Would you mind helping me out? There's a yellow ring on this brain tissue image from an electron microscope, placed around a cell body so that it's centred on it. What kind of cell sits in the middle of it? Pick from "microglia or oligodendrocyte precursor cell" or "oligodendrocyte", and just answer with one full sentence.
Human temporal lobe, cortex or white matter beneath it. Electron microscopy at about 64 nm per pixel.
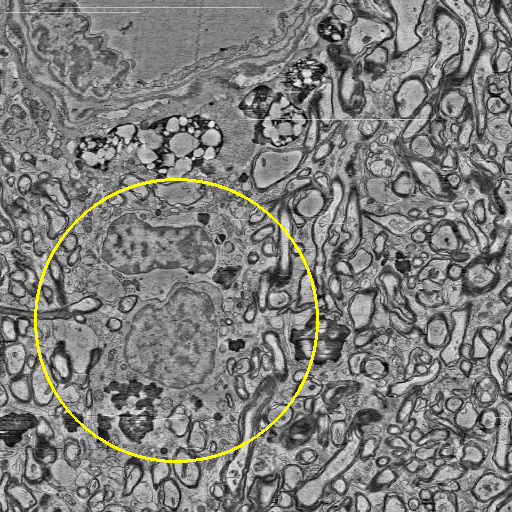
What sits in the middle of that yellow ring is an oligodendrocyte, from your choices.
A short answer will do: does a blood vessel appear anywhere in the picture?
Yes, the picture includes a blood vessel.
